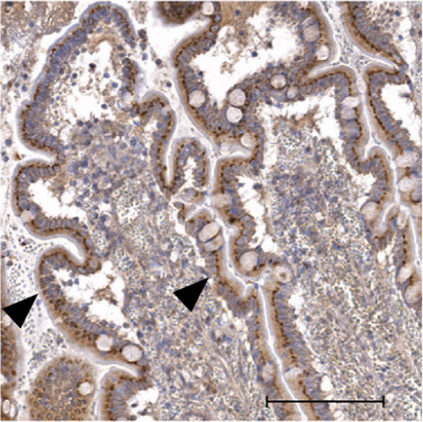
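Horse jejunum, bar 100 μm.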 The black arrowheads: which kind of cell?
Enterocytes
